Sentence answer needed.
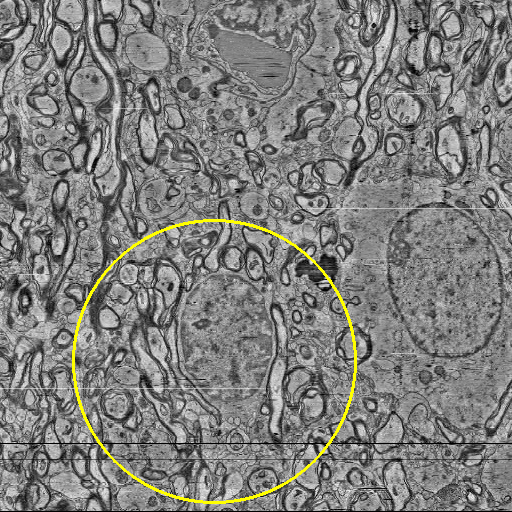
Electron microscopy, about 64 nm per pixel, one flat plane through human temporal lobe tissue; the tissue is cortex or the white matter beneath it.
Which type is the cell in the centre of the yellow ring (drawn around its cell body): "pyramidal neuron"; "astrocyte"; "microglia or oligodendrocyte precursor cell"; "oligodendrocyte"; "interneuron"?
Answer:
In the centre of the yellow ring is an oligodendrocyte.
